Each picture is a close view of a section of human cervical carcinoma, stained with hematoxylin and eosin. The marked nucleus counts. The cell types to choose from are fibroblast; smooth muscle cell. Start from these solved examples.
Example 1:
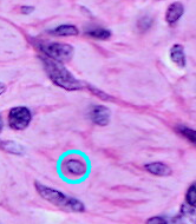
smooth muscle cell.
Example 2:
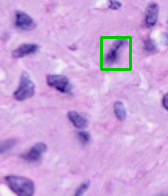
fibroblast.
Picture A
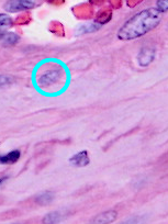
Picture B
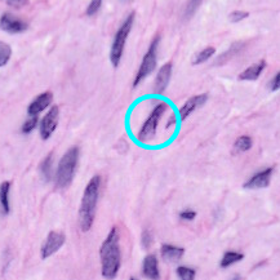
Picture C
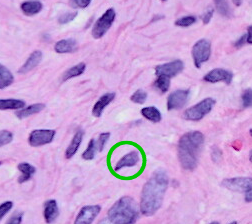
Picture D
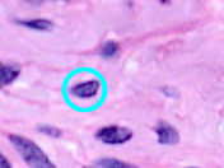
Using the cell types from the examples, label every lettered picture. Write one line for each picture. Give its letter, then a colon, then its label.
A: smooth muscle cell.
B: fibroblast.
C: fibroblast.
D: fibroblast.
